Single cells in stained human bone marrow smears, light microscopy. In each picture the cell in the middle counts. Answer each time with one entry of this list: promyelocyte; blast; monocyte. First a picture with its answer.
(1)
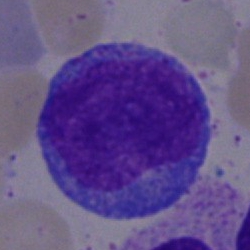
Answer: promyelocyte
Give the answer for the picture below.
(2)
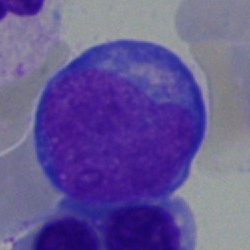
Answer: blast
